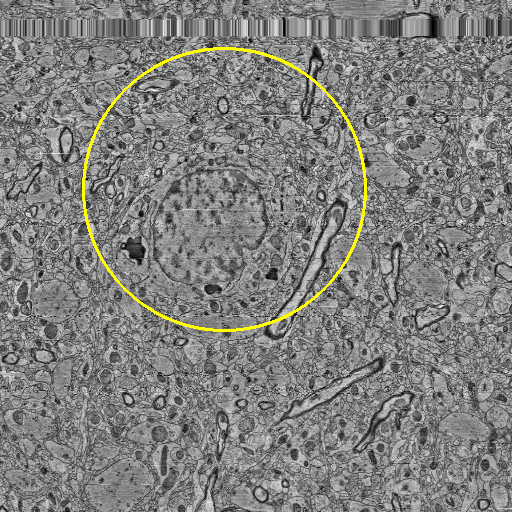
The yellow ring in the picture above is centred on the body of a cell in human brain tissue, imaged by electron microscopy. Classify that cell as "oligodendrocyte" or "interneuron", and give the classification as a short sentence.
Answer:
The cell in the middle of the ring is an interneuron.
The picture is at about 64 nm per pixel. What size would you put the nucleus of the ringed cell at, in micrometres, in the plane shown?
In this plane the nucleus measures roughly 10 by 7 micrometers.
